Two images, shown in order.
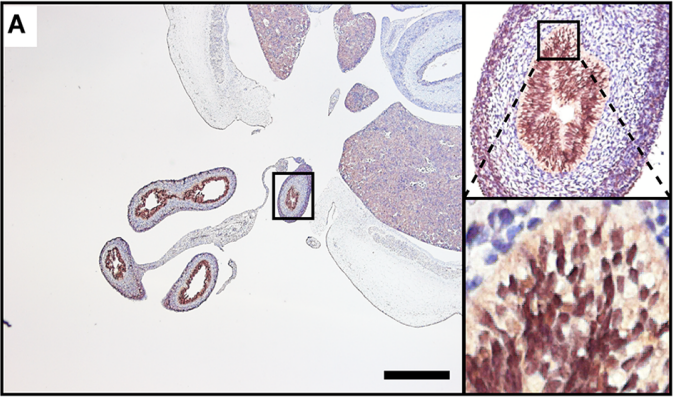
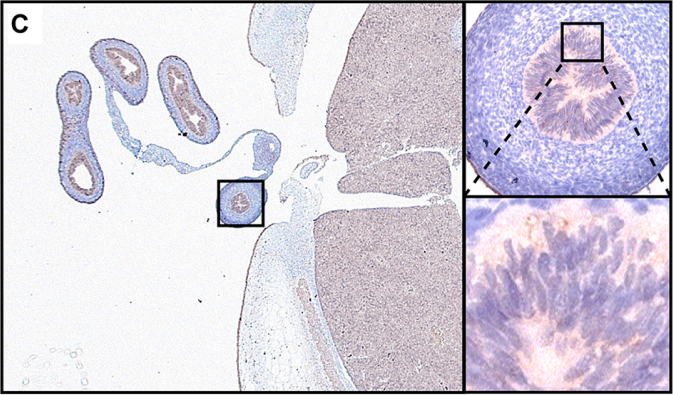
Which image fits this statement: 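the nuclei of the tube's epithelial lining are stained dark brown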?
The first image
